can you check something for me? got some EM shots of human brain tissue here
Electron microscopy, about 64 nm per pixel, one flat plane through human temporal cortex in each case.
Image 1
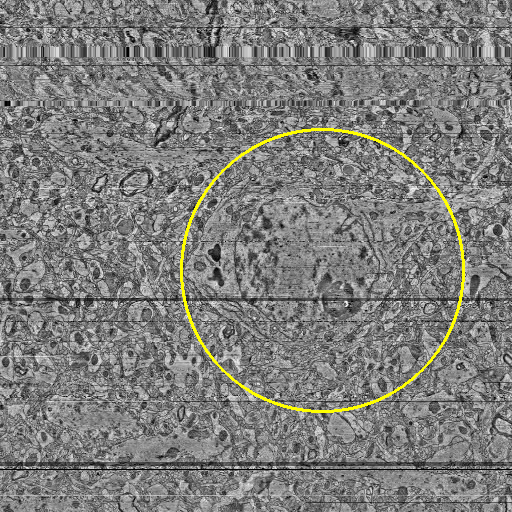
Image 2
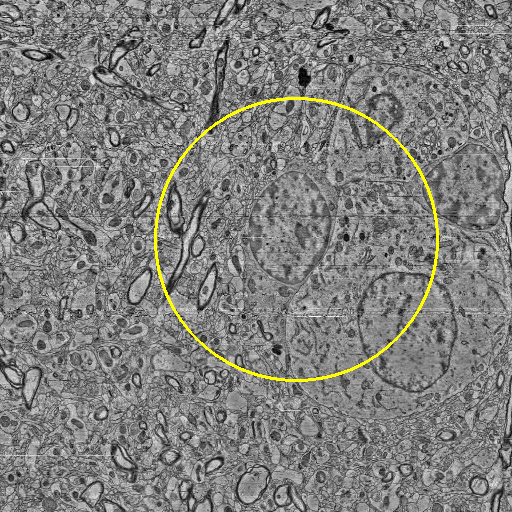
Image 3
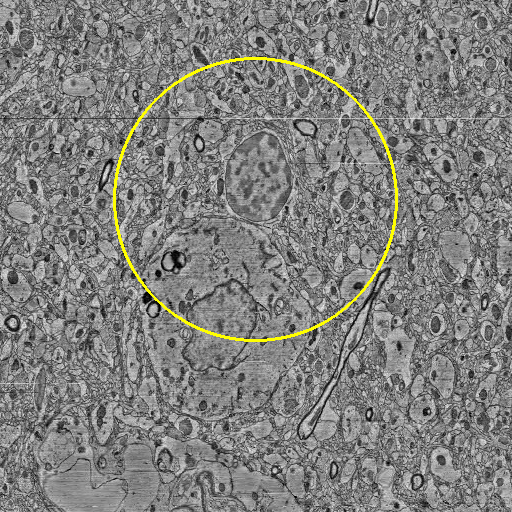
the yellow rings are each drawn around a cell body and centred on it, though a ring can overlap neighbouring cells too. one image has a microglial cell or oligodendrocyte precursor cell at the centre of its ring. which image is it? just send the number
3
